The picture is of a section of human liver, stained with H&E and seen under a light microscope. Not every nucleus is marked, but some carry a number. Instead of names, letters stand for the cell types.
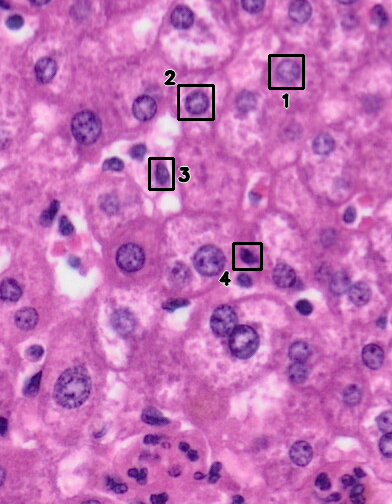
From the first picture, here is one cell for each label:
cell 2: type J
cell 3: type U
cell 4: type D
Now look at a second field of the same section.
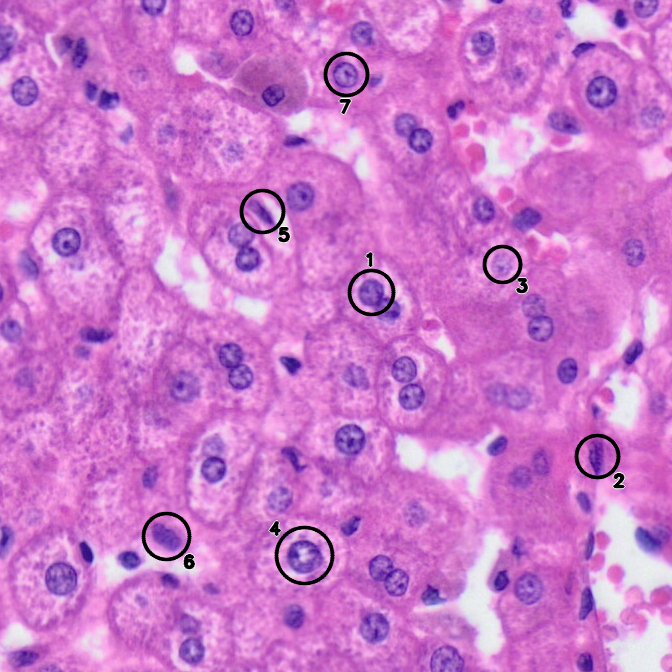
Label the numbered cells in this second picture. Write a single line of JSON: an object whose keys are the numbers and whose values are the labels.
{"1": "type J", "2": "type D", "3": "type J", "4": "type J", "5": "type U", "6": "type U", "7": "type J"}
